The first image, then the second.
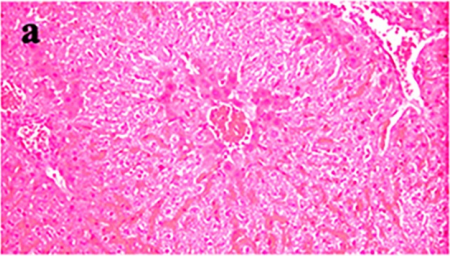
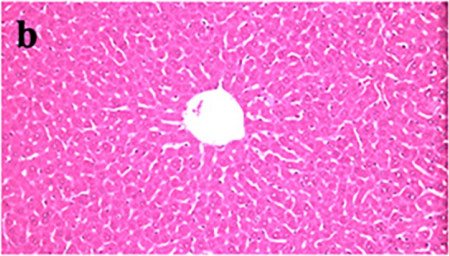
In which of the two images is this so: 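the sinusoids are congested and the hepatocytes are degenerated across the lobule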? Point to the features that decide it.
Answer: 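The first image. Second image: hepatocyte cords radiate neatly from an empty central vein with thin clear sinusoids between them. First image: the central vein holds red blood cells and the parenchyma is dense, disordered and pink with few open sinusoids.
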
